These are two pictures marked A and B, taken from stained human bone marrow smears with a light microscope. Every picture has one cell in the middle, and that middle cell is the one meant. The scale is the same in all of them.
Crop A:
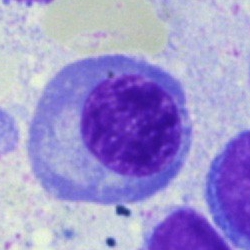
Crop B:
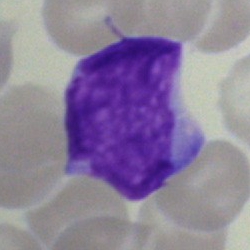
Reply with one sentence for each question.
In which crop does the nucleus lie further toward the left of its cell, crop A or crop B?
The nucleus in crop B lies further toward the left of its cell.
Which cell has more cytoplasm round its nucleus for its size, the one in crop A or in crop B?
In crop A the nucleus takes up the smaller part of its cell.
